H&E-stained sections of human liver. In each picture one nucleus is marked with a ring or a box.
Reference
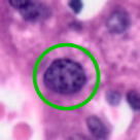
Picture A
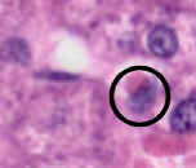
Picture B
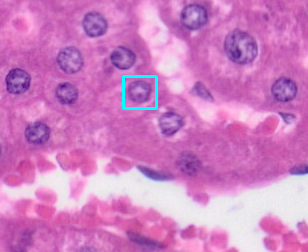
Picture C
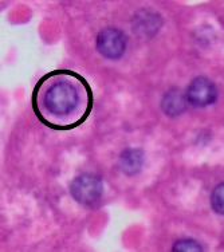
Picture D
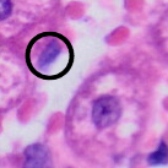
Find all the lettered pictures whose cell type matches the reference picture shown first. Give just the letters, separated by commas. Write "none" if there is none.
B, C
